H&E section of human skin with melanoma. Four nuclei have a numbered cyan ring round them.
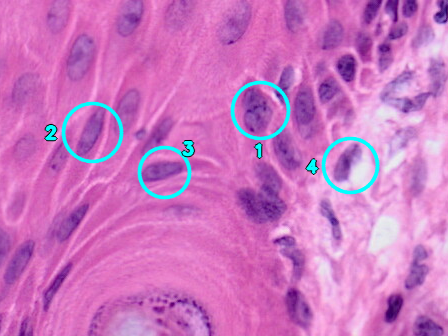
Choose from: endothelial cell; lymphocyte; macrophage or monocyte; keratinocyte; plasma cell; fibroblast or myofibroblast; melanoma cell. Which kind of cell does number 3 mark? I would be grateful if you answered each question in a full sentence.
The cell carrying label 3 is identified as a keratinocyte.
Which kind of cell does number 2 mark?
The one numbered 2 among the marked cells is a keratinocyte.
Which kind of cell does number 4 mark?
The one numbered 4 among the marked cells is a fibroblast or myofibroblast.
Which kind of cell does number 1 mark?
The nucleus labelled 1 belongs to a keratinocyte.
